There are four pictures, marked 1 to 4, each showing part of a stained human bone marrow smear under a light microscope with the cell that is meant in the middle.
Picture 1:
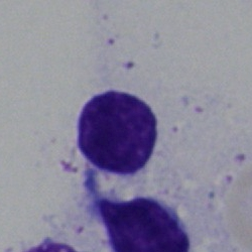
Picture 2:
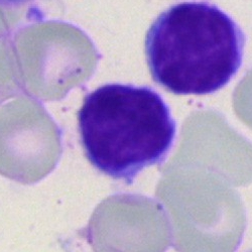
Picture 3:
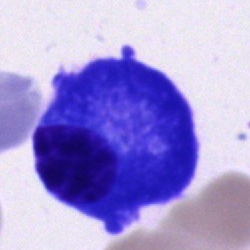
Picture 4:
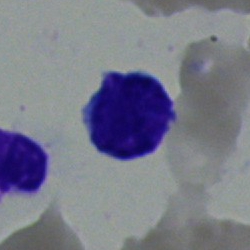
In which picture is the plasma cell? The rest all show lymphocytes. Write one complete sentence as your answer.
The picture with the plasma cell is 3.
